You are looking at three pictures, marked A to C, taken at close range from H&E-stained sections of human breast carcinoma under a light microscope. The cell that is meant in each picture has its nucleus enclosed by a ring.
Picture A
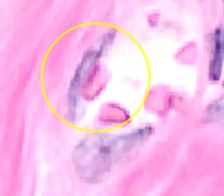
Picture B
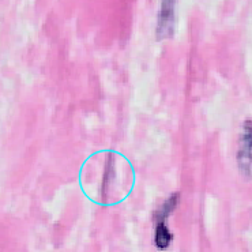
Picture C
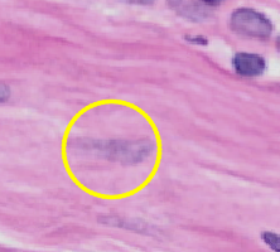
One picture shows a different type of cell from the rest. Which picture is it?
A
